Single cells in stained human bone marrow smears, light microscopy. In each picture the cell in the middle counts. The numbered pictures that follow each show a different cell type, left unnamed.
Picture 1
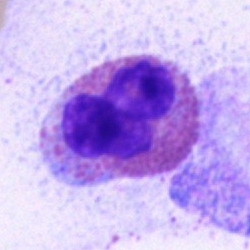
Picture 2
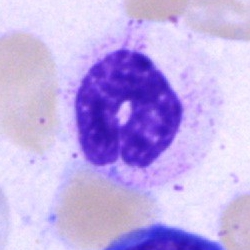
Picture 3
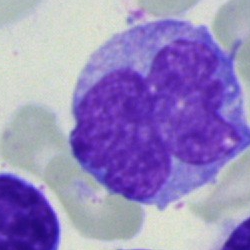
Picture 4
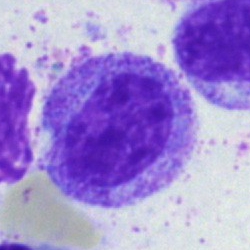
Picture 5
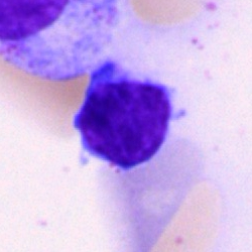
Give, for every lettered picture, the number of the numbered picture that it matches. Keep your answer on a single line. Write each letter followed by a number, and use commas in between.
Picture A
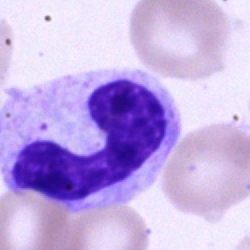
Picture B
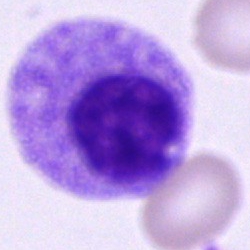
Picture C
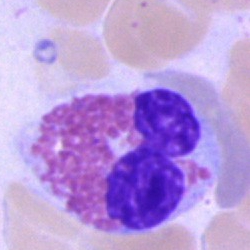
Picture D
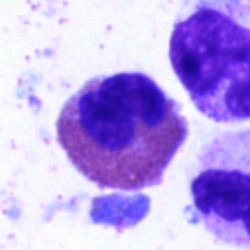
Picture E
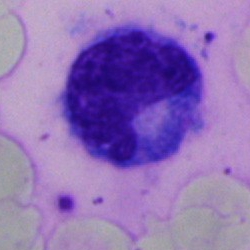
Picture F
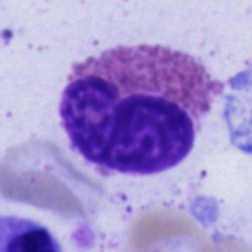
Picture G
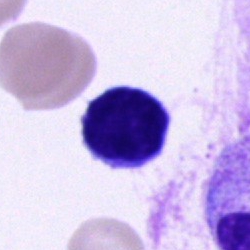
A 2, B 4, C 1, D 1, E 3, F 1, G 5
